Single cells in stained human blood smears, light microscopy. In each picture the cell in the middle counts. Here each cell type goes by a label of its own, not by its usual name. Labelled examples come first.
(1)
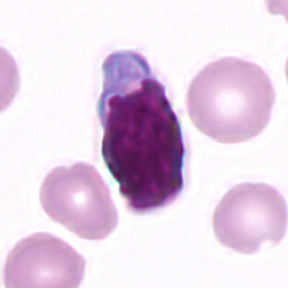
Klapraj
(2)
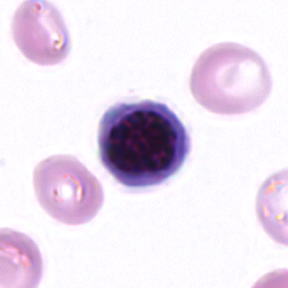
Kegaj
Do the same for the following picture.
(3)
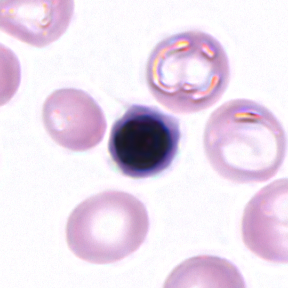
Kegaj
